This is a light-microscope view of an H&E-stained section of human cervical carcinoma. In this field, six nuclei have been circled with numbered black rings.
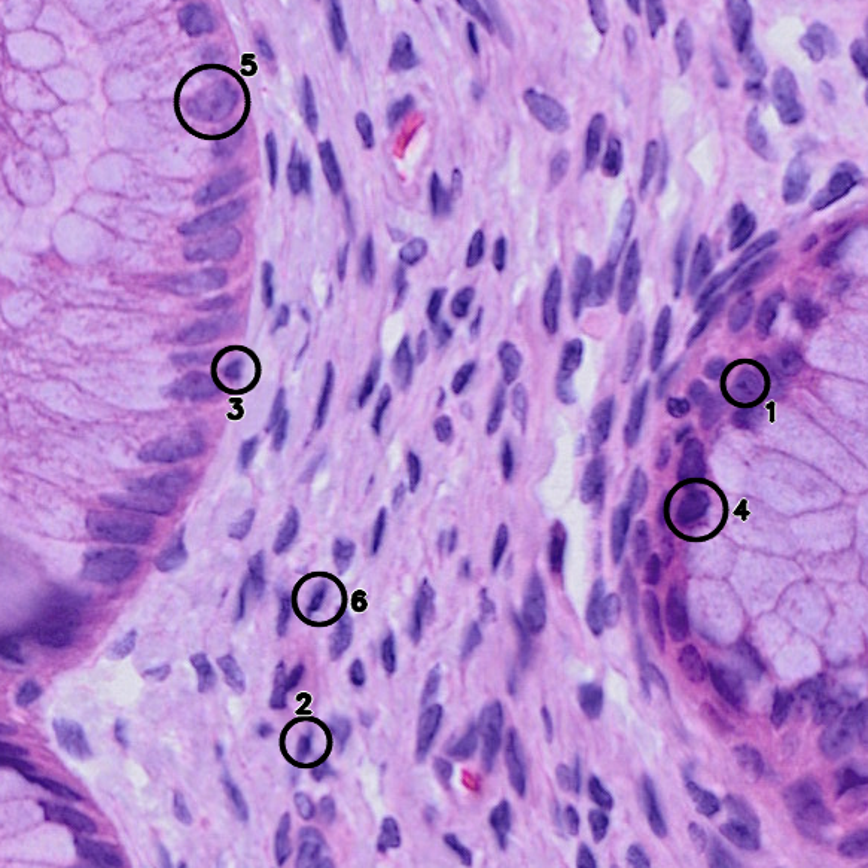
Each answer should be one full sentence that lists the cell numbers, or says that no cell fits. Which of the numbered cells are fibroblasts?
On this slide, the cells numbered 2 and 6 are fibroblasts.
